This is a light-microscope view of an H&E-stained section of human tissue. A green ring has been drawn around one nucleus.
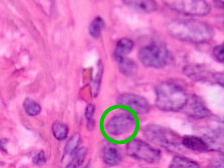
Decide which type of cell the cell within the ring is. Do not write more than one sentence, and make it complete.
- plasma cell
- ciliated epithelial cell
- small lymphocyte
In cell-type terms, the cell within the ring is a ciliated epithelial cell.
